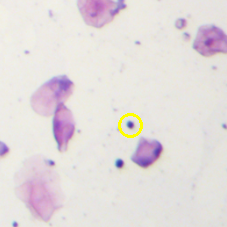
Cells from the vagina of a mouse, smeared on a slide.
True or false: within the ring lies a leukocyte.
True: a leukocyte lies within the ring.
